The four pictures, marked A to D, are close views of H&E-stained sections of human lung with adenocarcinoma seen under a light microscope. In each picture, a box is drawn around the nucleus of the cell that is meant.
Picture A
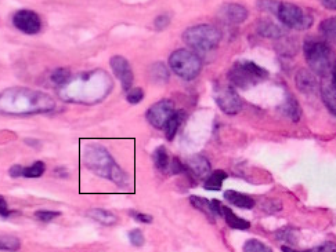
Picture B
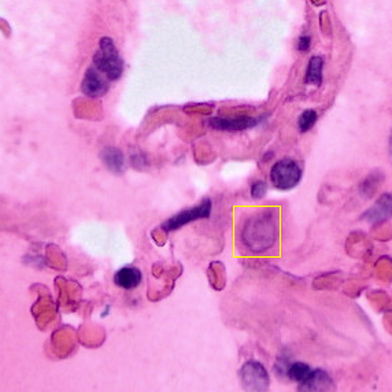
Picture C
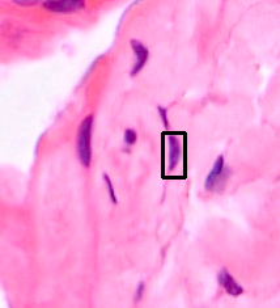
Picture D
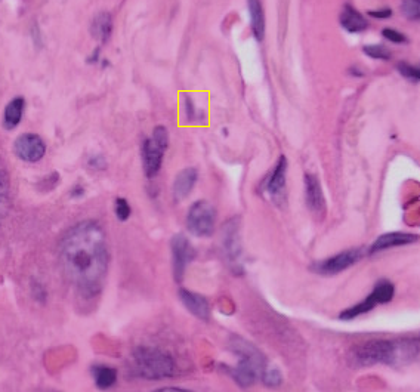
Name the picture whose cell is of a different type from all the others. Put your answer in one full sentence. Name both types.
The different one is picture B; it shows a “macrophage or monocyte”, whereas all the others show fibroblasts.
